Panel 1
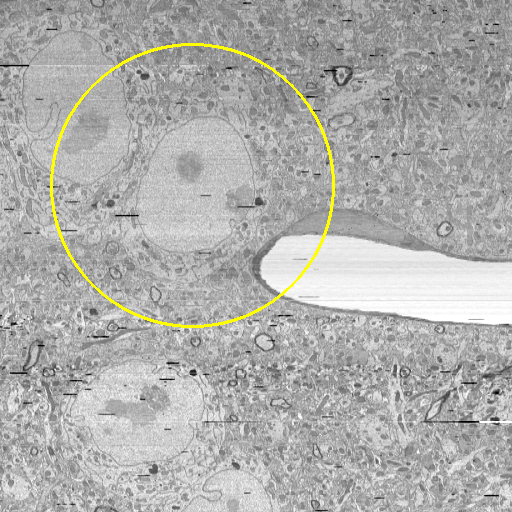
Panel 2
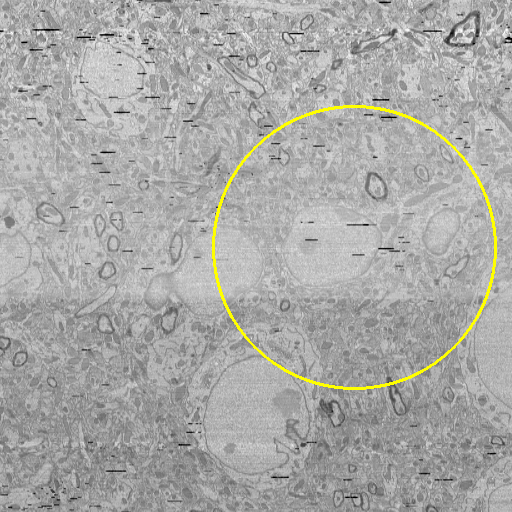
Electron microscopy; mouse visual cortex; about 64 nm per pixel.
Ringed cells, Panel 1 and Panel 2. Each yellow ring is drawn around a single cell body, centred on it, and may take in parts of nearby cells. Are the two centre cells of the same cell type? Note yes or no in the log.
no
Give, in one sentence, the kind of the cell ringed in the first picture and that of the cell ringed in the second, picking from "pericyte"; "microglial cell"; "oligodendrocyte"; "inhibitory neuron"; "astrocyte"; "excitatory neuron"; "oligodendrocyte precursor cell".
For the first picture it is an excitatory neuron; for the second, an astrocyte.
